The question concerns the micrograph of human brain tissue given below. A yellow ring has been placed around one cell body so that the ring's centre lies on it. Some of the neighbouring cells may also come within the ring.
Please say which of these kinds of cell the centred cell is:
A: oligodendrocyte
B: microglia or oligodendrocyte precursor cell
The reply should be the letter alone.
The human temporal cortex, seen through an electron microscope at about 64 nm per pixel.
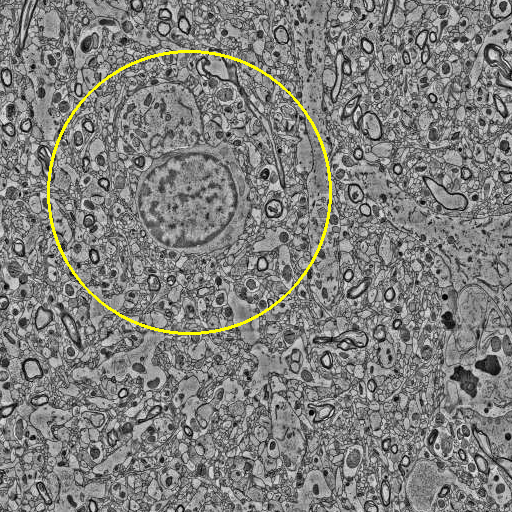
A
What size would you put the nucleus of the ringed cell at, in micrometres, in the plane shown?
The nucleus appears about 6 micrometres across in this plane.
